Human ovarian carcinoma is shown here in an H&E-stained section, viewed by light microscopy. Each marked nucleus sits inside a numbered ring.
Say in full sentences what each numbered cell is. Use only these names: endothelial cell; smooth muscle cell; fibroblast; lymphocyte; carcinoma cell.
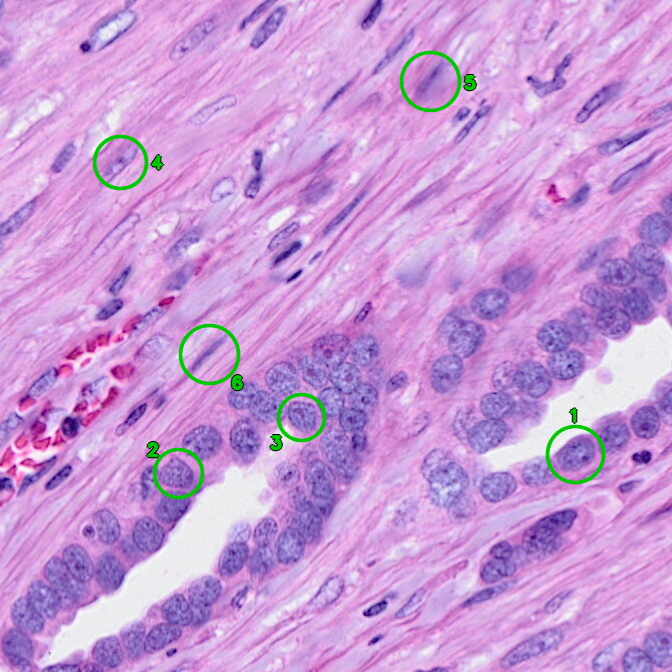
Cell 1 is a carcinoma cell, cell 2 is a carcinoma cell, cell 3 is a carcinoma cell, cell 4 is a fibroblast, cell 5 is a fibroblast and cell 6 is a fibroblast.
